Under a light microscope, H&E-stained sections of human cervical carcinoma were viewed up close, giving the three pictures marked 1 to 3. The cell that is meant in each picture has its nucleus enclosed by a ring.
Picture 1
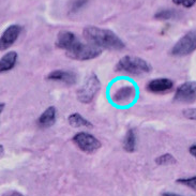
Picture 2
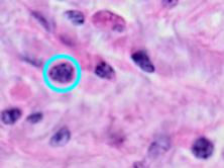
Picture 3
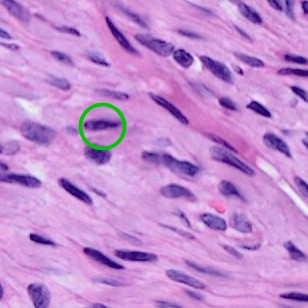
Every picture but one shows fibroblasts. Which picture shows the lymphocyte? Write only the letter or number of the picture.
2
